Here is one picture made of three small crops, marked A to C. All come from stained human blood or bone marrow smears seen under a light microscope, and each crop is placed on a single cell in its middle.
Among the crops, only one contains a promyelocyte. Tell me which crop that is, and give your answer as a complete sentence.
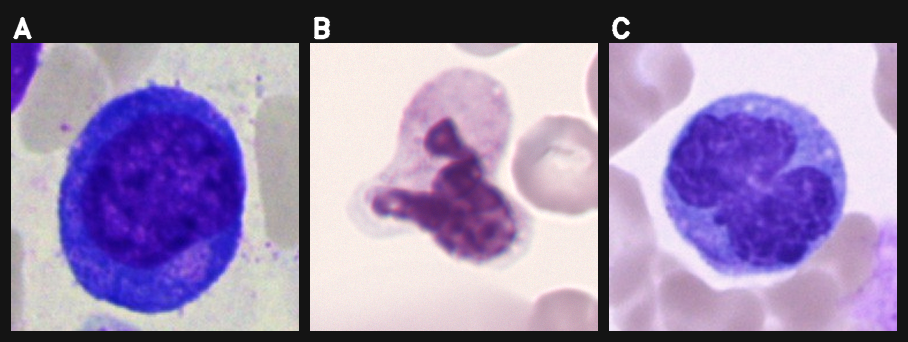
Look at crop A; that is the one with a promyelocyte in its center.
